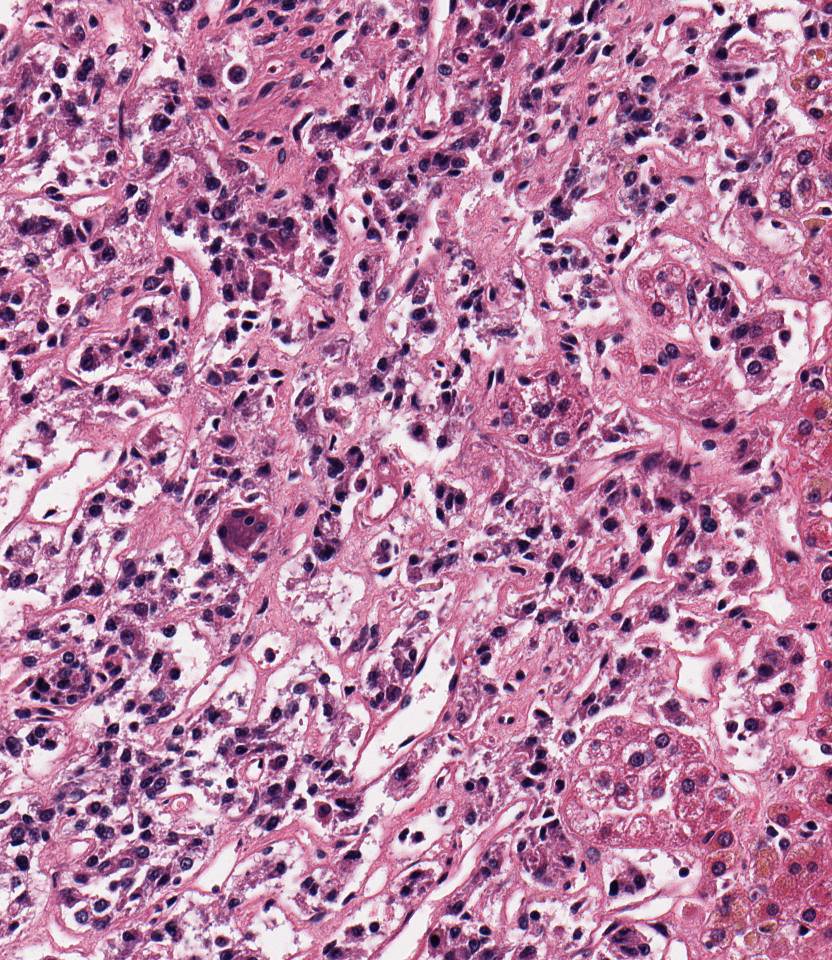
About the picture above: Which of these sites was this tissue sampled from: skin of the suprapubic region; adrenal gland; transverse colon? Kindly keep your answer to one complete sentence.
This tissue was sampled from the adrenal gland.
